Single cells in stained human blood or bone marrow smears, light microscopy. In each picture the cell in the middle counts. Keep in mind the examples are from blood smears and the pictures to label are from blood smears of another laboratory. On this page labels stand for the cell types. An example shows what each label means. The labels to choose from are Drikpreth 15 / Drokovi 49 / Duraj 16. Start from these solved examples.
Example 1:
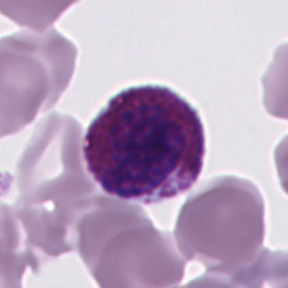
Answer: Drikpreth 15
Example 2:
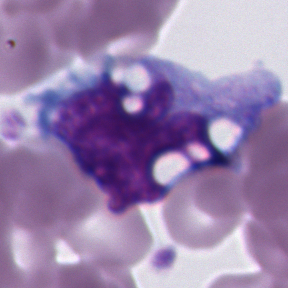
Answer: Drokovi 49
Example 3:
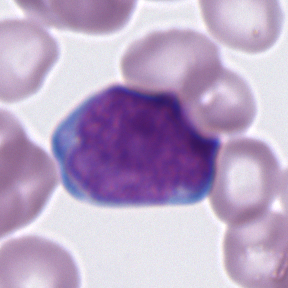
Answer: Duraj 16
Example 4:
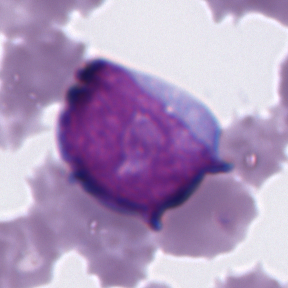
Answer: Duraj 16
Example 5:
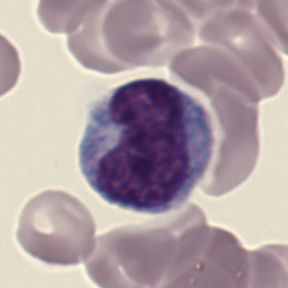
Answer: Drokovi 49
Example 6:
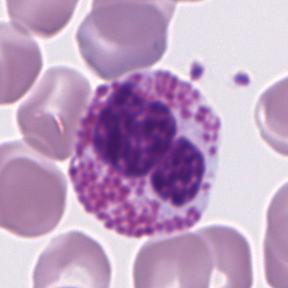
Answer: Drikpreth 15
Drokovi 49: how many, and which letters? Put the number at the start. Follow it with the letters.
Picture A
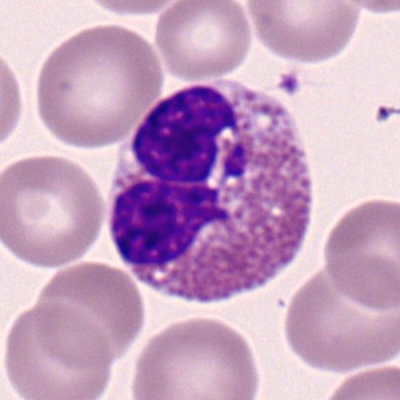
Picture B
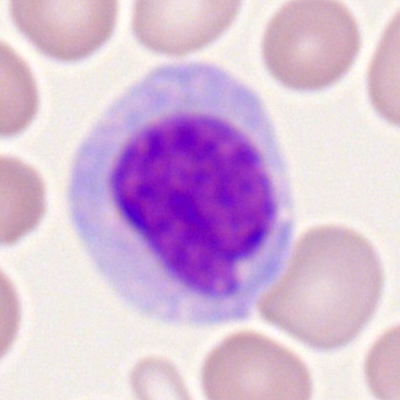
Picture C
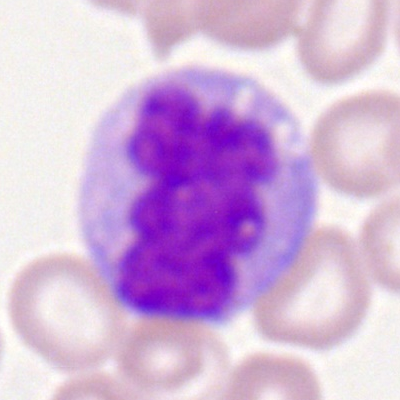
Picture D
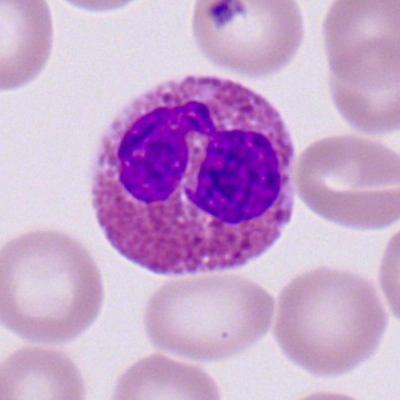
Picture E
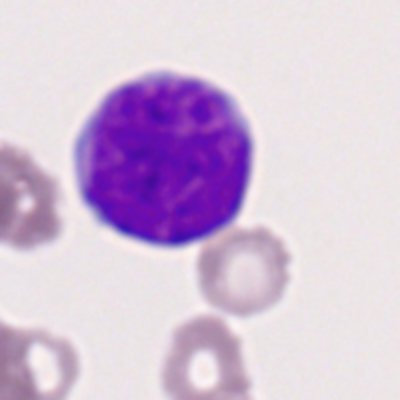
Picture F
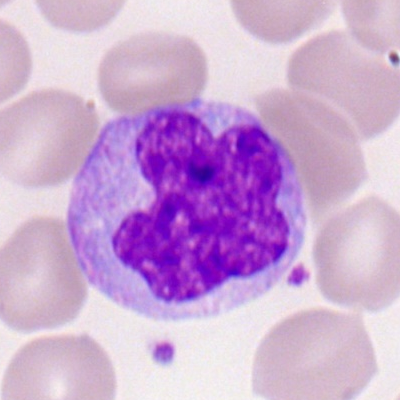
3, namely B, C, F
